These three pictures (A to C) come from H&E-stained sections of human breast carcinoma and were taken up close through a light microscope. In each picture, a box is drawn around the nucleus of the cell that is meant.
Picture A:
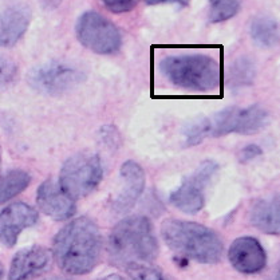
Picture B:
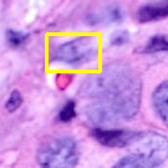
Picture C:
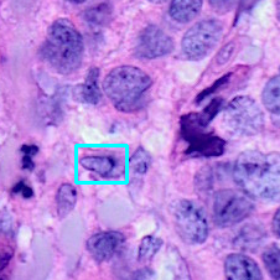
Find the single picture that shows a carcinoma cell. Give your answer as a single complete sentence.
The carcinoma cell is the one in picture A.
